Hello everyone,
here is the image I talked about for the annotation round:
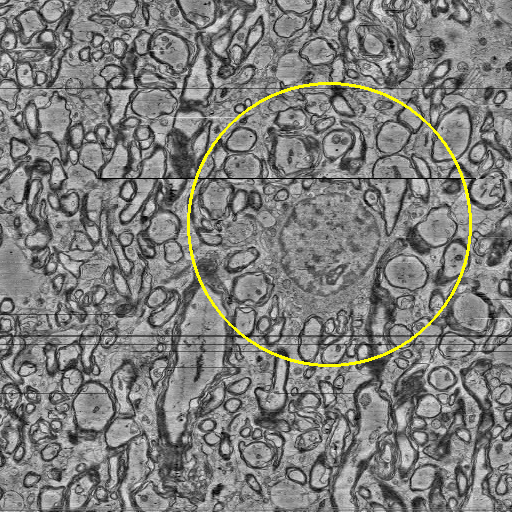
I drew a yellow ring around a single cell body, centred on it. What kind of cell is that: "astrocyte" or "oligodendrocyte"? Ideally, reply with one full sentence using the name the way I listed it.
The cell your yellow ring is centred on is an oligodendrocyte, going by your list.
